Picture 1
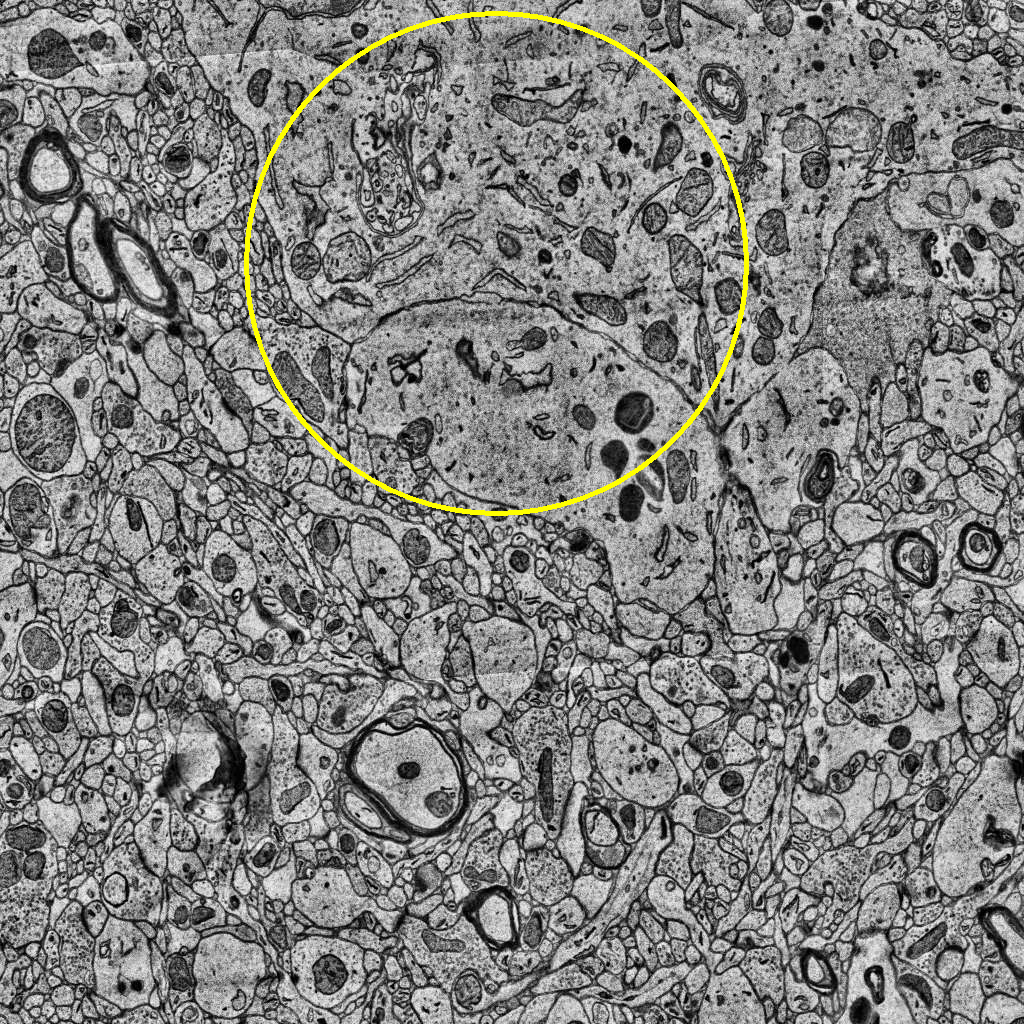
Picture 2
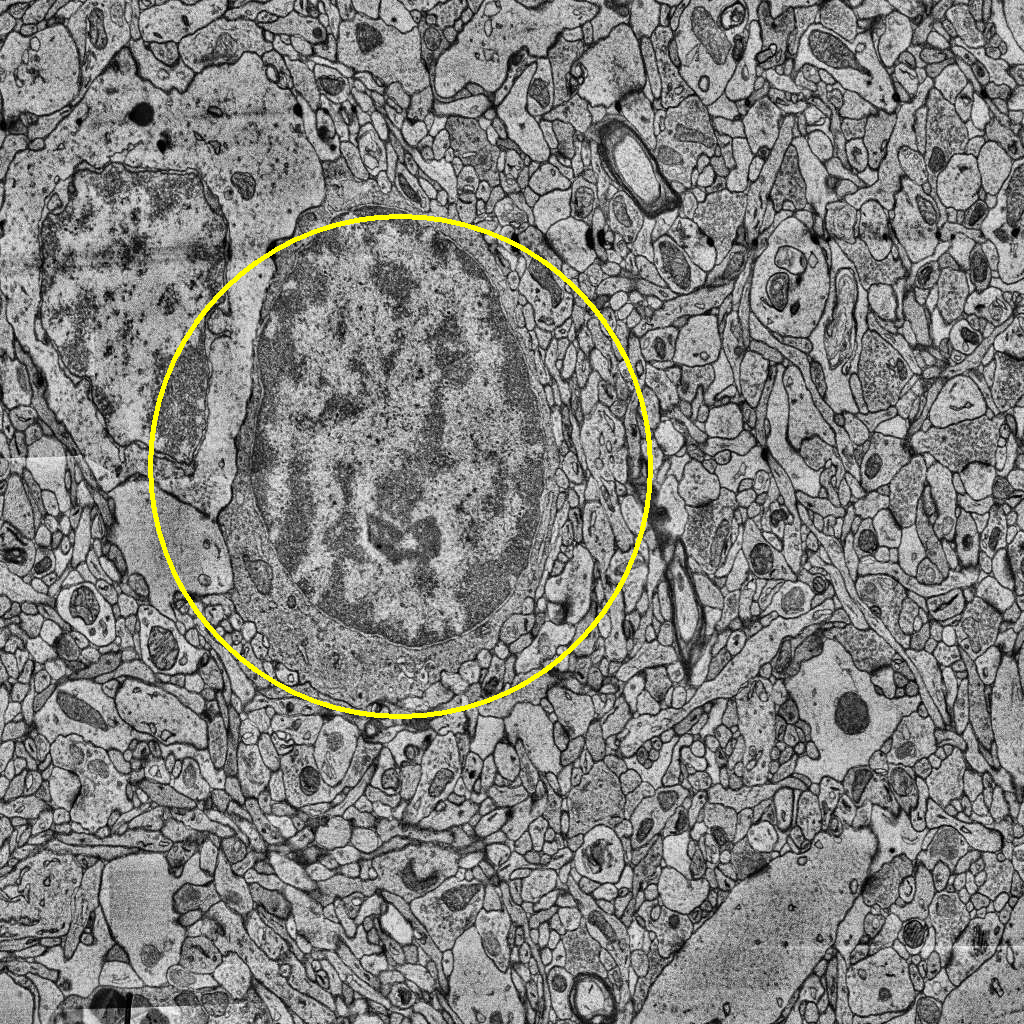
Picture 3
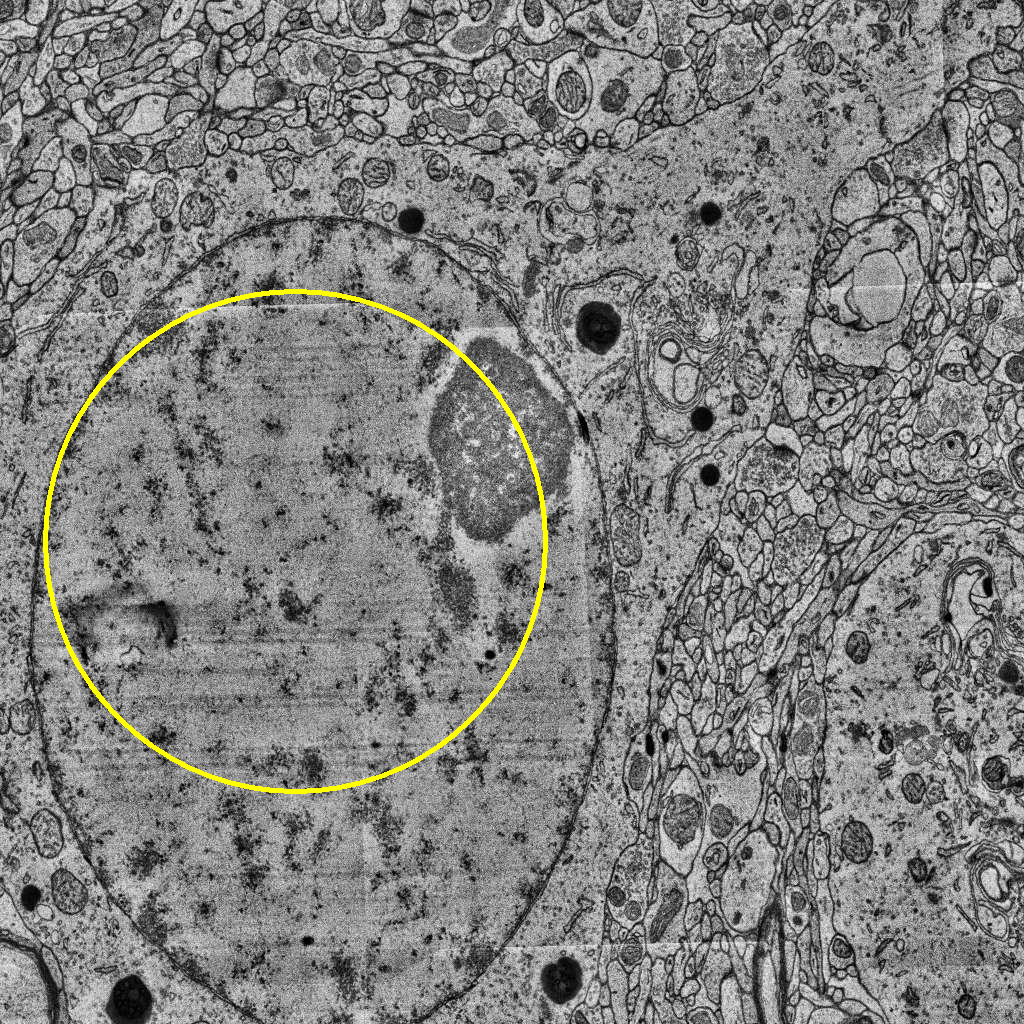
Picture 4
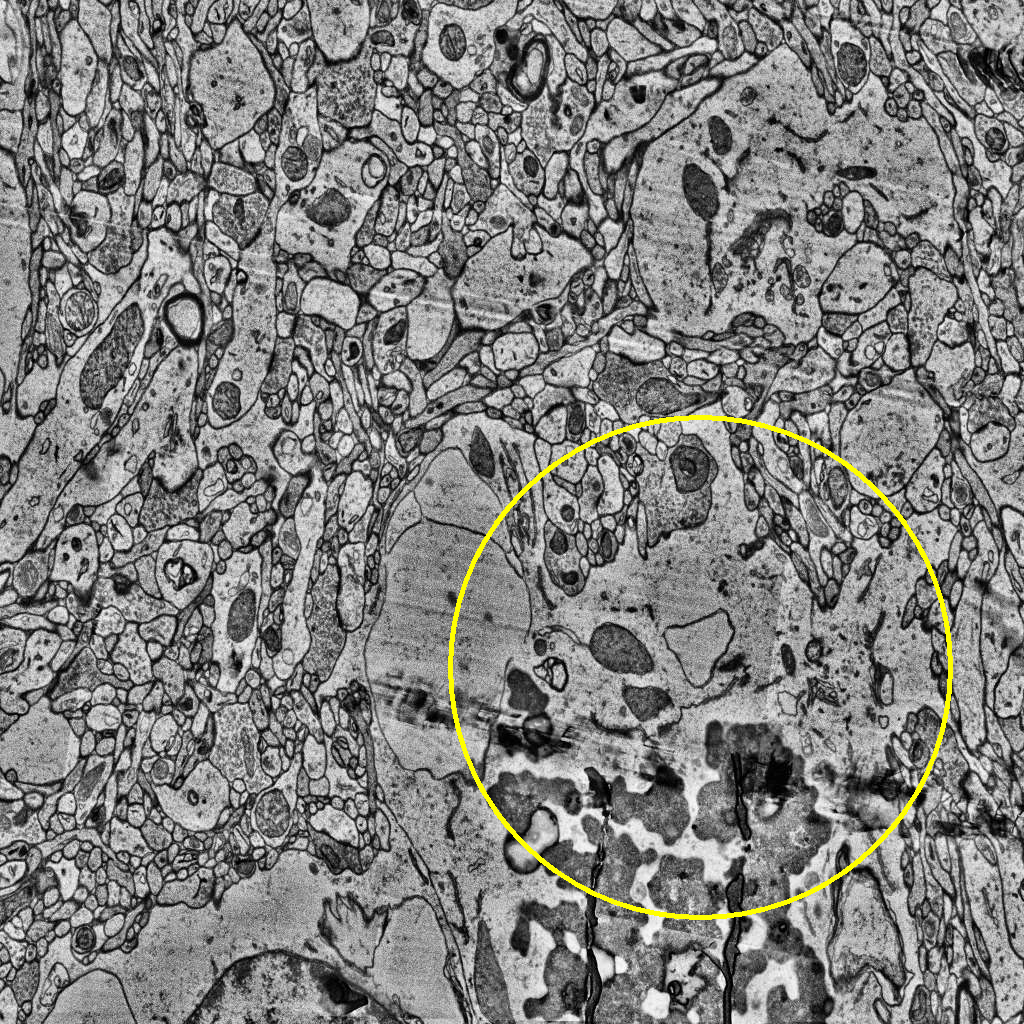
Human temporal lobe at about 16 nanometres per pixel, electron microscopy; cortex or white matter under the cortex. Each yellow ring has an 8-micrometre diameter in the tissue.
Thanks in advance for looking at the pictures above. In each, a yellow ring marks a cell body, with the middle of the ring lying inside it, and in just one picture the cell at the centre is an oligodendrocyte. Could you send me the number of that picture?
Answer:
2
